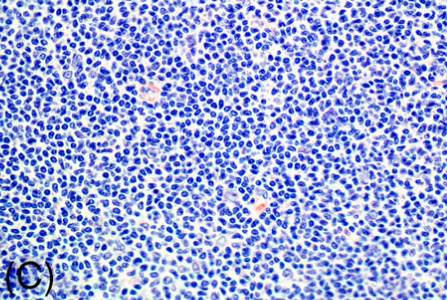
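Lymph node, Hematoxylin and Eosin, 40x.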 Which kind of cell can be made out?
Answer: Small centrocytes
